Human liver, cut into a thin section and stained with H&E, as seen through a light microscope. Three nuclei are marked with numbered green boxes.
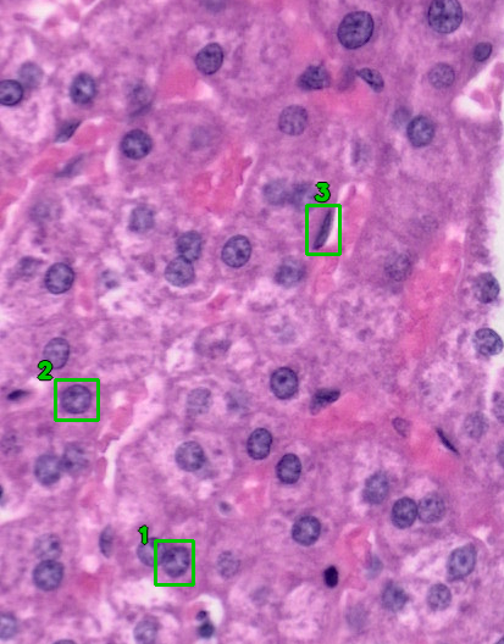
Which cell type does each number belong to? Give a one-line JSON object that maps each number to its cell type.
{"1": "hepatocyte", "2": "hepatocyte", "3": "endothelial cell"}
